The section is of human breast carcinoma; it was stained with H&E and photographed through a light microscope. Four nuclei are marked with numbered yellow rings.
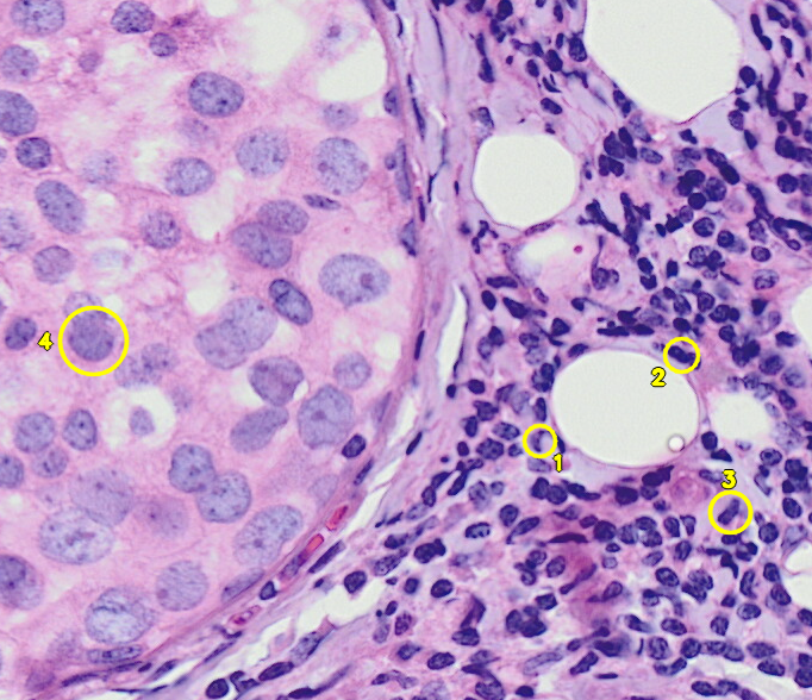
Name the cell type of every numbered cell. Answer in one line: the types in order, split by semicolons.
lymphocyte; lymphocyte; lymphocyte; carcinoma cell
